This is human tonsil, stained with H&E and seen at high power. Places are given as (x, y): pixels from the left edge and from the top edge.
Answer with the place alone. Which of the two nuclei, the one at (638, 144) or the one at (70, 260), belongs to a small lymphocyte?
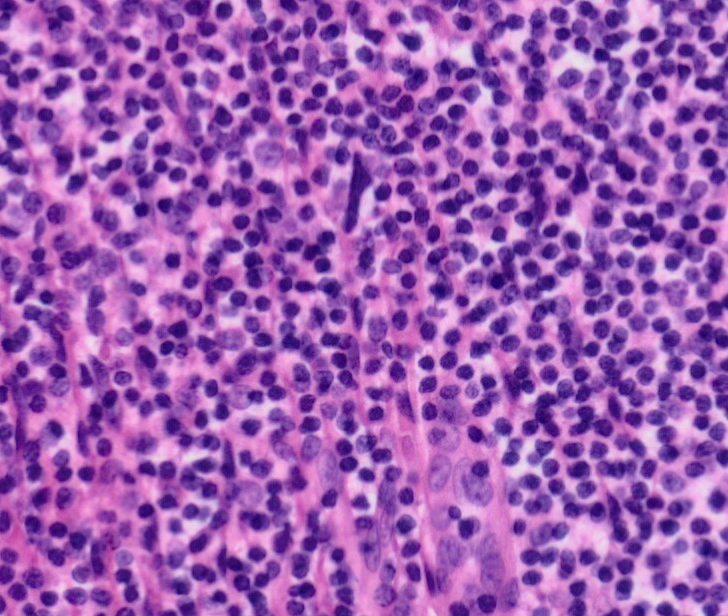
(638, 144)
